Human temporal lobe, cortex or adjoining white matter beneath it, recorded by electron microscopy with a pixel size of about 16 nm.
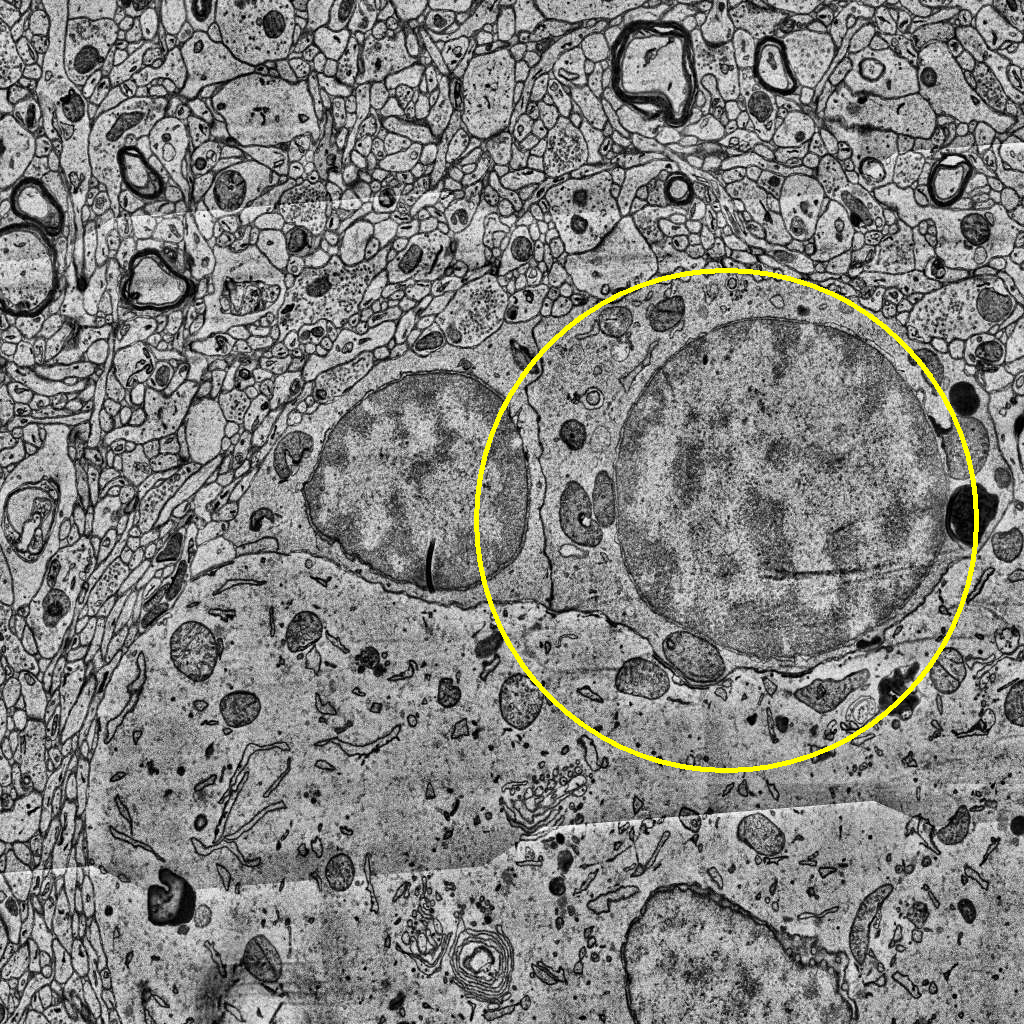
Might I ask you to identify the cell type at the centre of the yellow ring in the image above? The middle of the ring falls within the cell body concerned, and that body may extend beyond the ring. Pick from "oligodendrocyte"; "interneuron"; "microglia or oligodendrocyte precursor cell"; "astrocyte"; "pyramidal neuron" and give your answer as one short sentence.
The centre of the ring falls on an oligodendrocyte.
